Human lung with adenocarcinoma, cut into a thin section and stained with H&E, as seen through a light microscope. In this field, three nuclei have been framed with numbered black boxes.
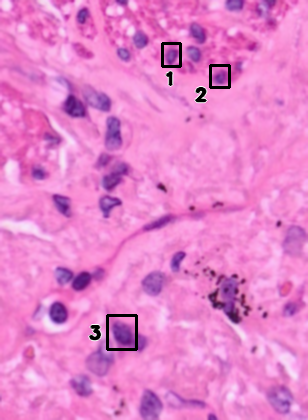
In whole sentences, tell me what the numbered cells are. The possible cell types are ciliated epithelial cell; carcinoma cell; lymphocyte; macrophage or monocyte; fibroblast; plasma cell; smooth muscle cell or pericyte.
Cell 1 is a smooth muscle cell or pericyte, cell 2 is a smooth muscle cell or pericyte and cell 3 is a plasma cell.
